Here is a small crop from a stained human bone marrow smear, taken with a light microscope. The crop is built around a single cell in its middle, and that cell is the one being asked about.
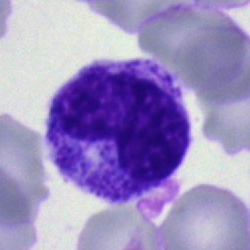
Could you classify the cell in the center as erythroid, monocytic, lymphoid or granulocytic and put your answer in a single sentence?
The cell at the crop's center is part of the granulocytic lineage.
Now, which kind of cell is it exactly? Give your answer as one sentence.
The central cell, amid any neighbouring cells, is a metamyelocyte.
